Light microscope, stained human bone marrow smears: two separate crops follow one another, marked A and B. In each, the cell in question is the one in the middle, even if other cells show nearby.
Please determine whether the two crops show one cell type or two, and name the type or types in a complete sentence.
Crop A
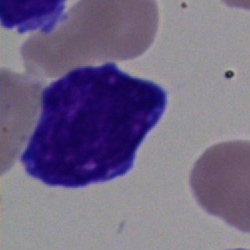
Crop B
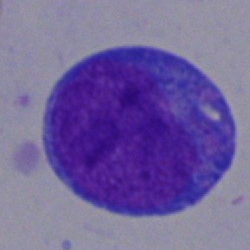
Yes, put down blasts for both crops.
